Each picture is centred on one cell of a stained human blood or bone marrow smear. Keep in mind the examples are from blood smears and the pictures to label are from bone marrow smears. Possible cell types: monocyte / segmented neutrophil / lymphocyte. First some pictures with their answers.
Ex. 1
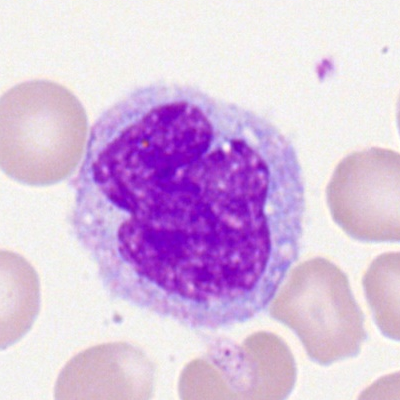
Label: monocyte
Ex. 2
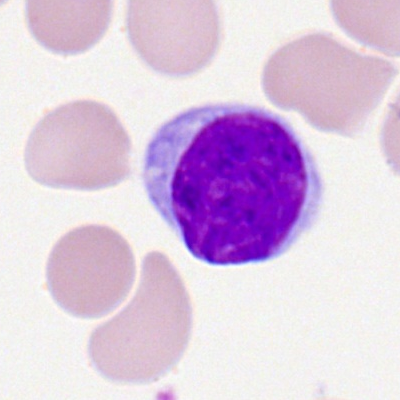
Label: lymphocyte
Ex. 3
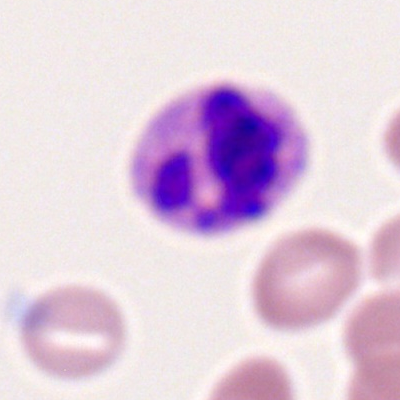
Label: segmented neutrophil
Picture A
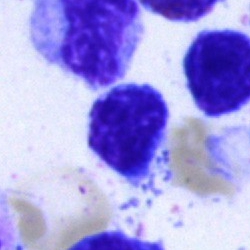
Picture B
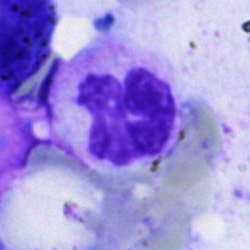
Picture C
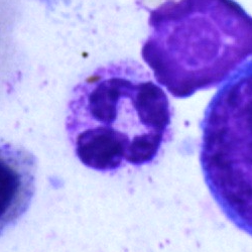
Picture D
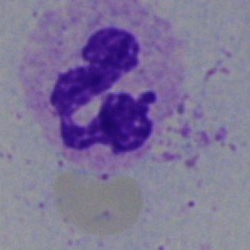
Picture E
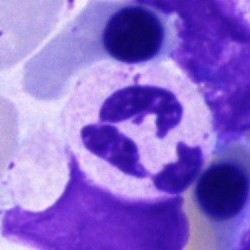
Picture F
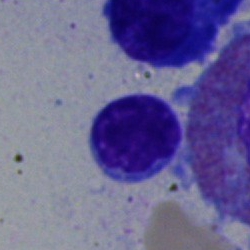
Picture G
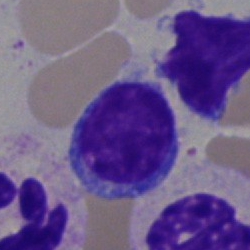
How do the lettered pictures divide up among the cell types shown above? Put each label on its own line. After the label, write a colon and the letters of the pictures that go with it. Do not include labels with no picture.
segmented neutrophil: B, C, D, E
lymphocyte: A, F, G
